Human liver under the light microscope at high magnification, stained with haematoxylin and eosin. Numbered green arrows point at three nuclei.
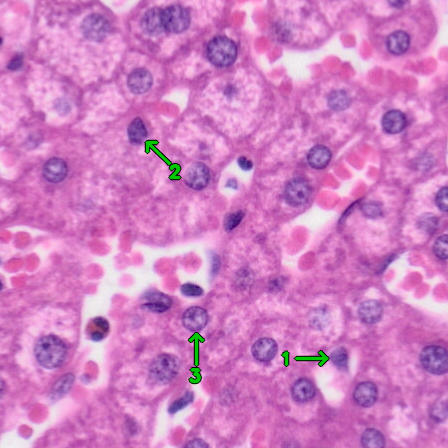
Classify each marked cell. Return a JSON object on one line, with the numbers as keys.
{"1": "Kupffer cell", "2": "hepatocyte", "3": "hepatocyte"}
